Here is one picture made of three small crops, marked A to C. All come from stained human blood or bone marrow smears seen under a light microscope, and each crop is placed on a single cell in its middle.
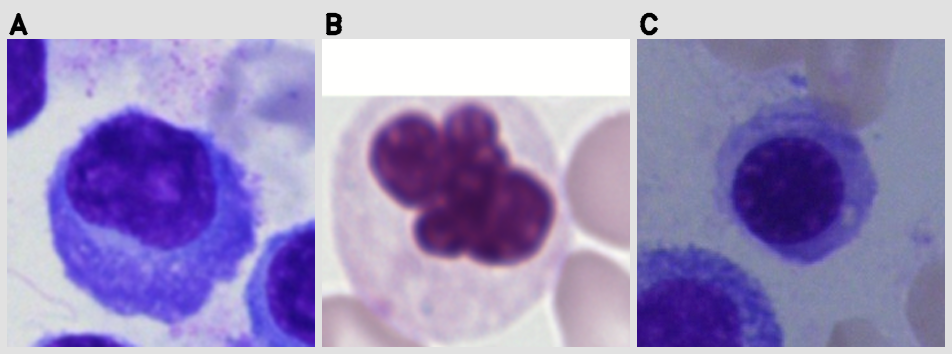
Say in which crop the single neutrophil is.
B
